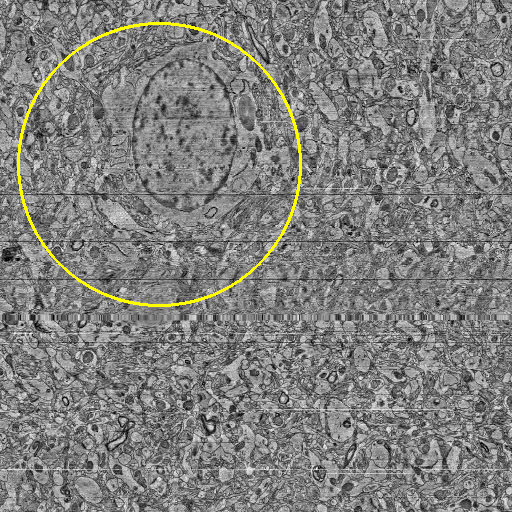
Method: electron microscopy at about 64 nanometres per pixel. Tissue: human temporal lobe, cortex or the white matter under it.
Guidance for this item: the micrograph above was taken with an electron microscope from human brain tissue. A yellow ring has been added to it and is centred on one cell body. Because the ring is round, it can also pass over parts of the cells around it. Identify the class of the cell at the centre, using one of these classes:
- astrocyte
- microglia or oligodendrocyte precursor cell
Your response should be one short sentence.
The ring surrounds the body of an astrocyte.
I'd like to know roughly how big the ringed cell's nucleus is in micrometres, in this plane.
The nucleus is about 10 micrometres in length and 7 in width, clearly longer than it is wide in this plane.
